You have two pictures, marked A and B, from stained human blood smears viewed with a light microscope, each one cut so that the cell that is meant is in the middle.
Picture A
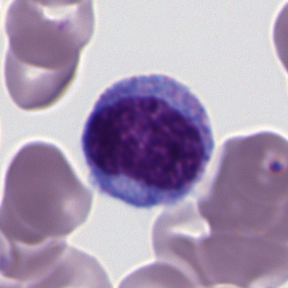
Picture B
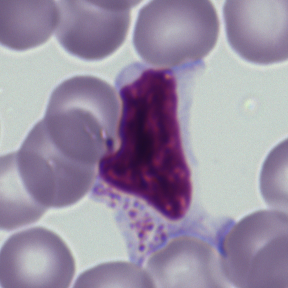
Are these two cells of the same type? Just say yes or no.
no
